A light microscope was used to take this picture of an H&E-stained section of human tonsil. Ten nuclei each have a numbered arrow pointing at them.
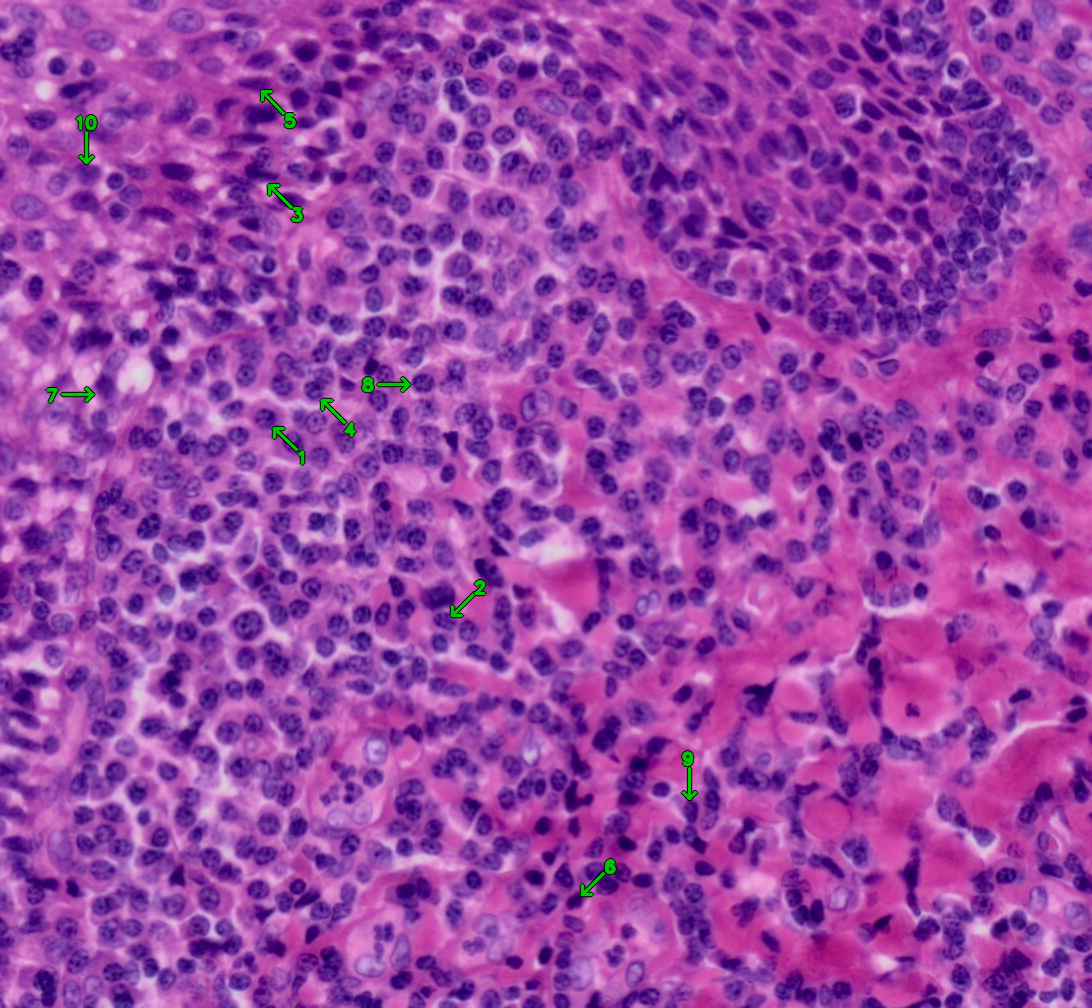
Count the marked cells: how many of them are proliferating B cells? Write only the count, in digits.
0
